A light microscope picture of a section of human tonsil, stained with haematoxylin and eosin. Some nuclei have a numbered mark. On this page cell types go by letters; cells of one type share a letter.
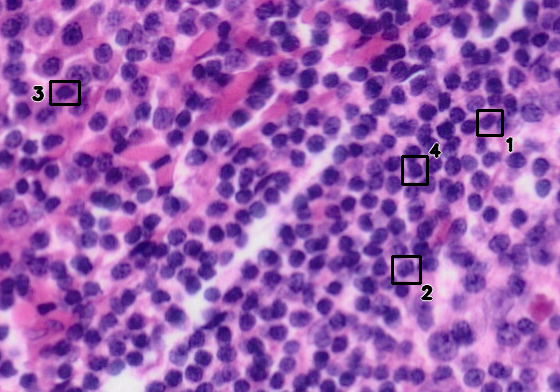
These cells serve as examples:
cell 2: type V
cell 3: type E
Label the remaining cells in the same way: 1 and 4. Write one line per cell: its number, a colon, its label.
1: type V
4: type V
